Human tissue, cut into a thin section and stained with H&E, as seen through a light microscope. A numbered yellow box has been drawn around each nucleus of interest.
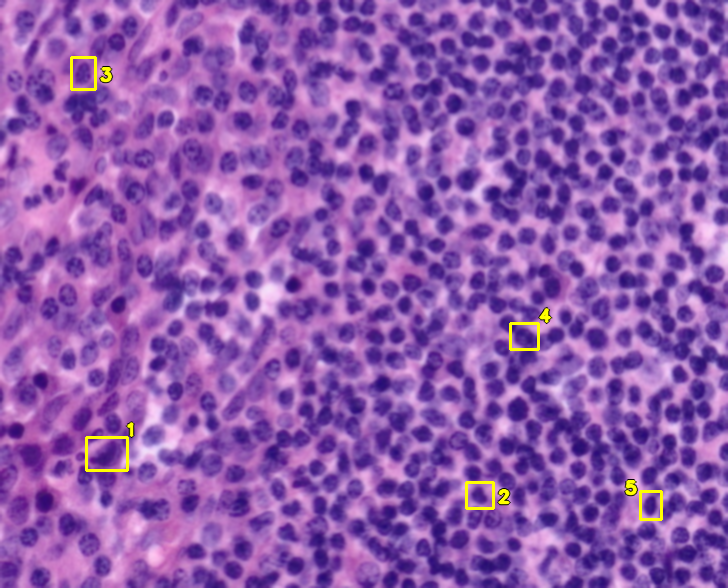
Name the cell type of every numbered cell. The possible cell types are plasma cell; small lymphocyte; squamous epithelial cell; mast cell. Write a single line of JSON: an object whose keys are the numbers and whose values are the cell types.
{"1": "squamous epithelial cell", "2": "small lymphocyte", "3": "plasma cell", "4": "small lymphocyte", "5": "small lymphocyte"}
